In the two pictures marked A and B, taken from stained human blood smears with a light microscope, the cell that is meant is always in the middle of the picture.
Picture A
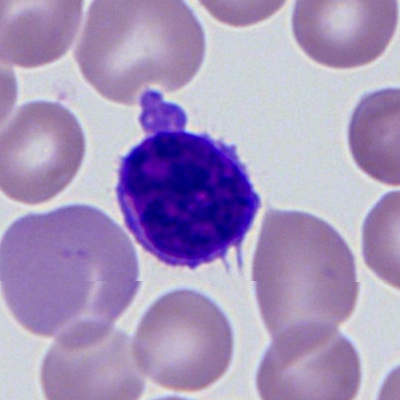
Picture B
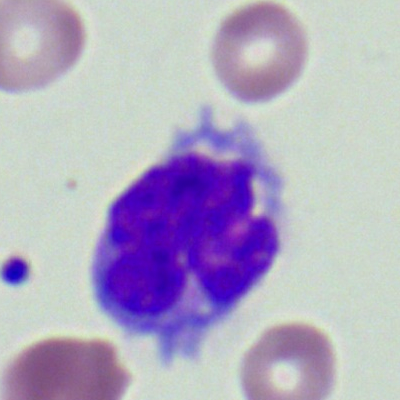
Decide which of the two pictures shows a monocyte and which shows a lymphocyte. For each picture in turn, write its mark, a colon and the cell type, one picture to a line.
A: lymphocyte
B: monocyte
